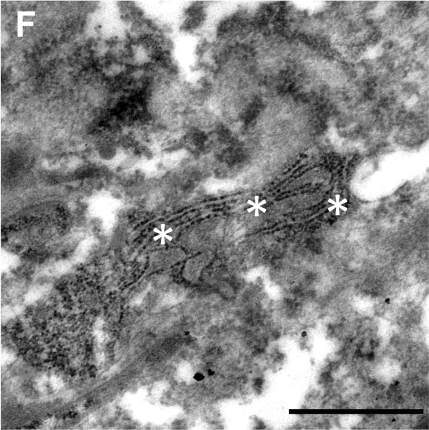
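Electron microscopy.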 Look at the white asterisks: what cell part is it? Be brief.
Endoplasmic reticulum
